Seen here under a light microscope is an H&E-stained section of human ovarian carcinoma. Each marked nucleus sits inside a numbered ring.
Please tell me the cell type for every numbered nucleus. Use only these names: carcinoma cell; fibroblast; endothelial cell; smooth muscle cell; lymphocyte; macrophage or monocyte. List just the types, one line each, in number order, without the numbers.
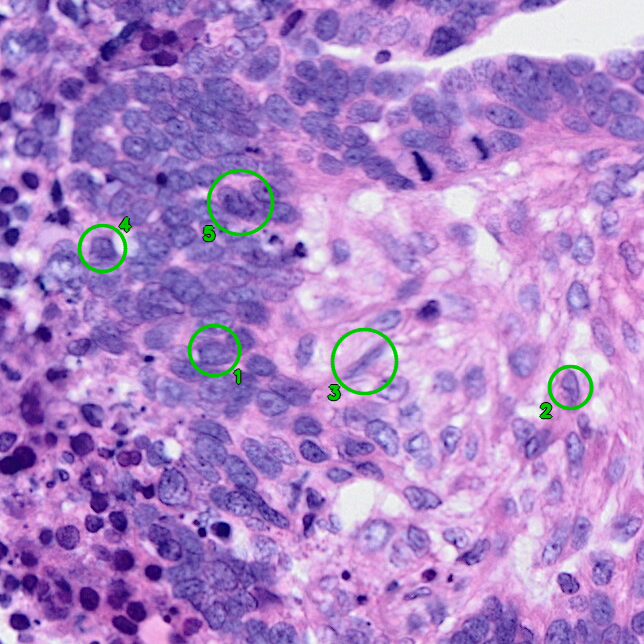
carcinoma cell
fibroblast
fibroblast
carcinoma cell
carcinoma cell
